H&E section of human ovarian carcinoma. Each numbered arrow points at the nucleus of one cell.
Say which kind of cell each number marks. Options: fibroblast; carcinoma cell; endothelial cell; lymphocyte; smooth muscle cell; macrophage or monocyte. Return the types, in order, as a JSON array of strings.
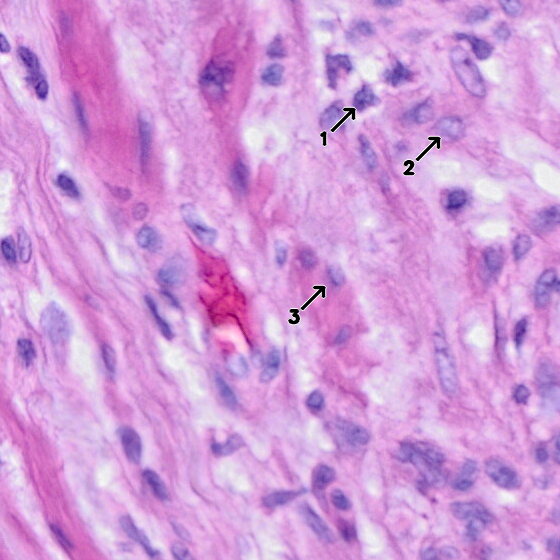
["macrophage or monocyte", "fibroblast", "smooth muscle cell"]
